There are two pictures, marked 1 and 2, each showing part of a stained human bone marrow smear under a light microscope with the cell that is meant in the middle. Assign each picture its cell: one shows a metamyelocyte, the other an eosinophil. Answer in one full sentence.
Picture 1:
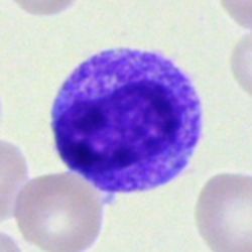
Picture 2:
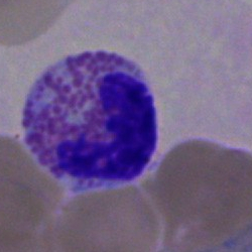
Picture 1 is of a metamyelocyte, and picture 2 is of an eosinophil.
